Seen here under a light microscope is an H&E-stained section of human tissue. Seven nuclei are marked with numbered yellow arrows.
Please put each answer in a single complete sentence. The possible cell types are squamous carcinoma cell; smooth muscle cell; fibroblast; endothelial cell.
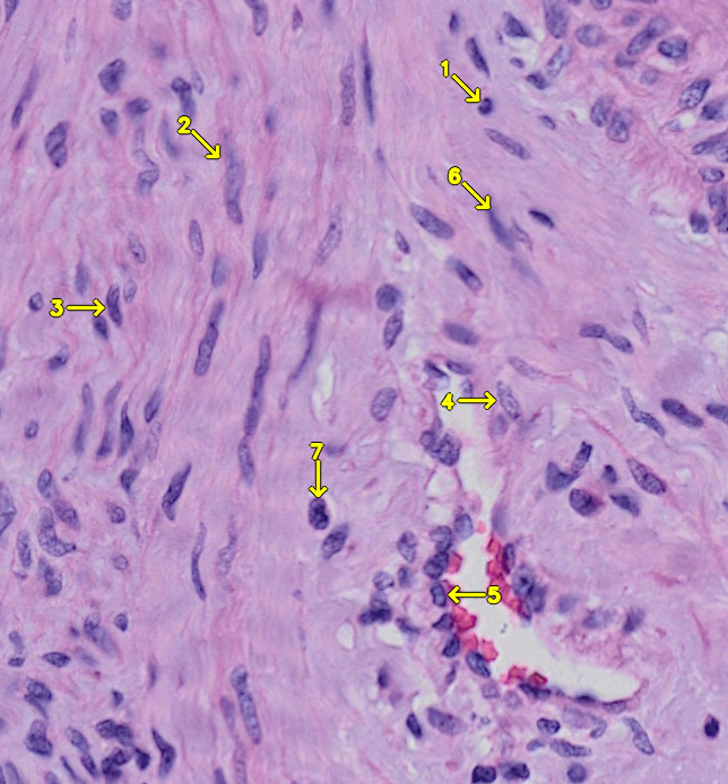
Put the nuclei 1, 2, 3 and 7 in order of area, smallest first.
The order from the smallest nucleus to the largest is 1, 3, 7, 2.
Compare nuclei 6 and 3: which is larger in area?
Nucleus 6 is larger, with an area about 2.5 times that of nucleus 3.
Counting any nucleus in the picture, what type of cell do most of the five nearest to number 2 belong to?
Smooth muscle cells make up most of the five nuclei closest to number 2.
